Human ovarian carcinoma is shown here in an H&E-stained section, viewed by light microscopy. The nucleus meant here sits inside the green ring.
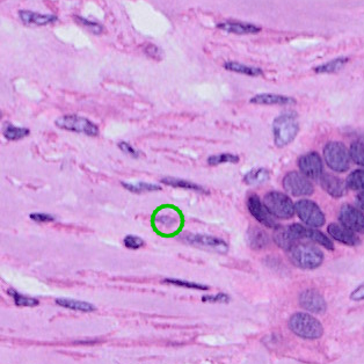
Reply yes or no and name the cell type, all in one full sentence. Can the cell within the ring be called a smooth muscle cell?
No, in this tissue section, the cell within the ring is not a smooth muscle cell but a fibroblast.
